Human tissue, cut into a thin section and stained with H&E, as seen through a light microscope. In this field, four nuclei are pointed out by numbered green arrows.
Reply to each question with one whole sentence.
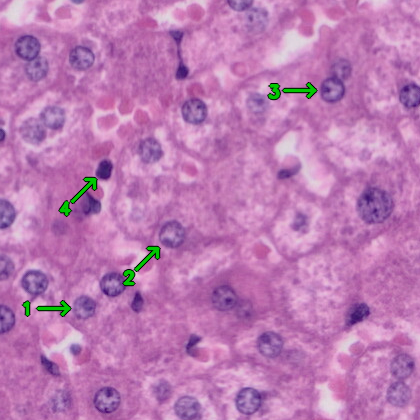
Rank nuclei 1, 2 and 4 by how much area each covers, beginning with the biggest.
The nuclei rank 2, 1, 4, from largest to smallest.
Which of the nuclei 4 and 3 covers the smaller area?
Number 4 is smaller, since number 3 takes up about 2 times as much area.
